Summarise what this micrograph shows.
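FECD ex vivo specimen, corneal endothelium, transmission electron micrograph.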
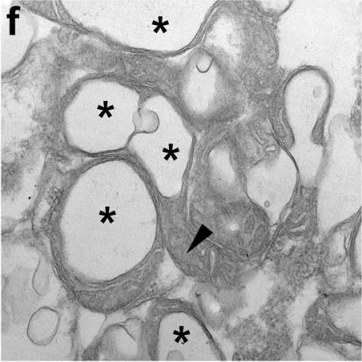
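The cytoplasm is crowded with rounded, mostly empty pale spaces of varied size, each enclosed by membranes, some with several membrane layers at their rims. Between them lie a few folded membrane structures resembling mitochondria, one of them apparently enclosed. These are vacuoles of the autophagic kind, with mitochondria taken into autophagosomes.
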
